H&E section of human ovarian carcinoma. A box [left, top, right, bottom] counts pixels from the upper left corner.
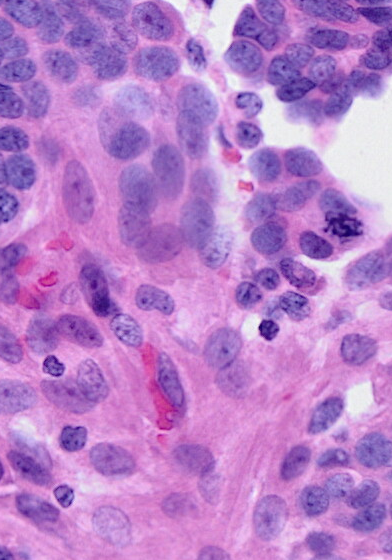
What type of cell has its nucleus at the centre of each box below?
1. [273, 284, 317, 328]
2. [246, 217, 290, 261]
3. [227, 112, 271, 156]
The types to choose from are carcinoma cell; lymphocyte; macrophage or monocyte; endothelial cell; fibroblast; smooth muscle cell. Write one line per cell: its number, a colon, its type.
1: macrophage or monocyte
2: carcinoma cell
3: macrophage or monocyte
